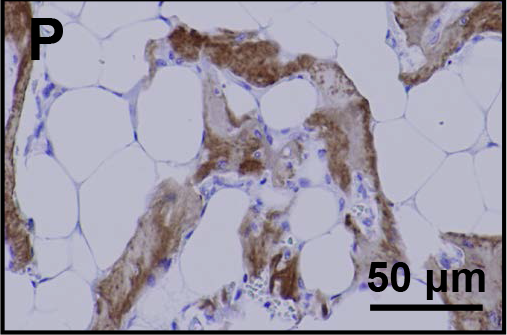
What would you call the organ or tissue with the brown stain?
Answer: trabecular bones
